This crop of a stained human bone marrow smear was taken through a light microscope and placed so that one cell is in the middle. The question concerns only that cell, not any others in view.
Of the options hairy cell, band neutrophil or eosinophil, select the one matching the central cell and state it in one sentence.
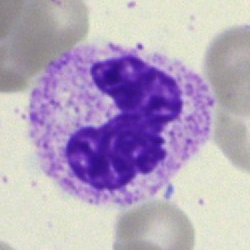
At the middle of the frame sits a band neutrophil.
